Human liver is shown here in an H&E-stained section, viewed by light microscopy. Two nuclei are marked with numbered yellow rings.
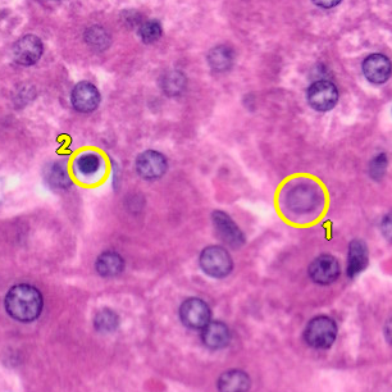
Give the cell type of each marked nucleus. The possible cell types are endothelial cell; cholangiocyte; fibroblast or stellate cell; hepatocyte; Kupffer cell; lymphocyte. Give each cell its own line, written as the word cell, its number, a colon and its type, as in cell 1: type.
cell 1: hepatocyte
cell 2: lymphocyte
